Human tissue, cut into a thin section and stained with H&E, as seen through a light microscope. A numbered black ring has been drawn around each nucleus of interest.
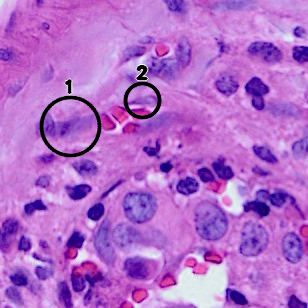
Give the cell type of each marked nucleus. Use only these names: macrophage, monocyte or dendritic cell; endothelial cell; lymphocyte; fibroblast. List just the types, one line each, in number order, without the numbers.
fibroblast
endothelial cell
